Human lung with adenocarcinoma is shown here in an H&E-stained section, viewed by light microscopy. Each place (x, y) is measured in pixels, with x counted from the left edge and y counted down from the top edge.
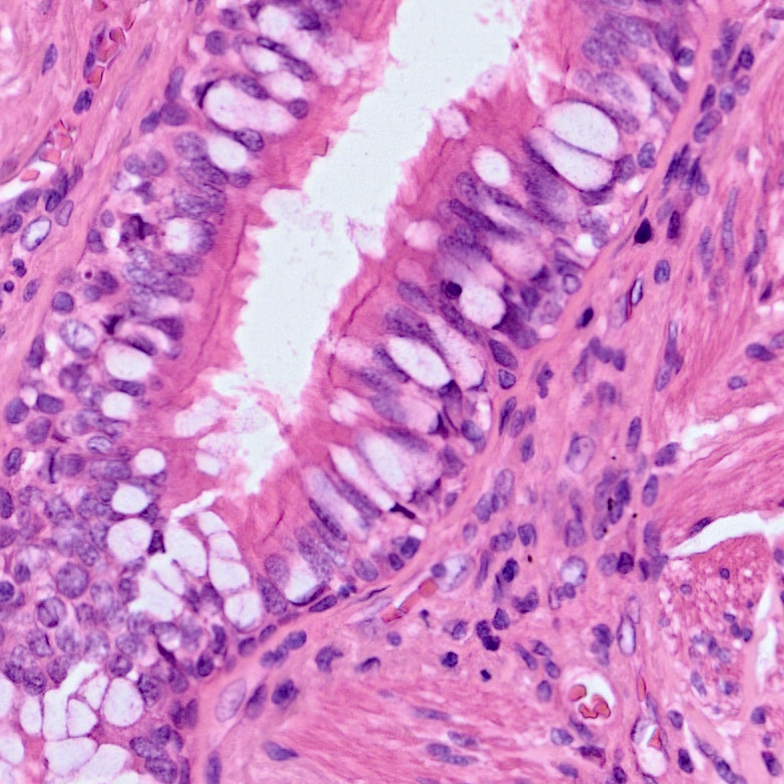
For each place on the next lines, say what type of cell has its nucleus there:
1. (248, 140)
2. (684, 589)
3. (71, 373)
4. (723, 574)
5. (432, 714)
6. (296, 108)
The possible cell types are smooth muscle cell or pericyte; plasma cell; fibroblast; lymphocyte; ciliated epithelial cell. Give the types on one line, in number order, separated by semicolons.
ciliated epithelial cell; smooth muscle cell or pericyte; ciliated epithelial cell; smooth muscle cell or pericyte; smooth muscle cell or pericyte; ciliated epithelial cell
